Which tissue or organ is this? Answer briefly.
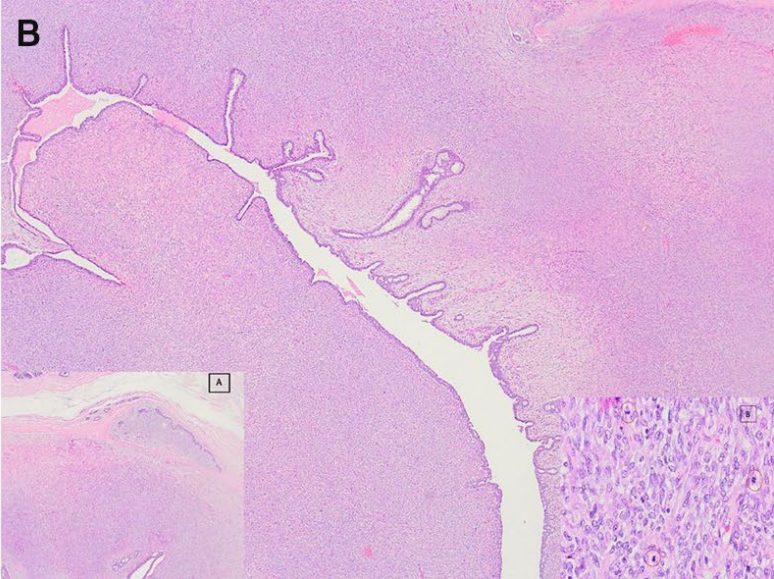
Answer: Cellular mesenchymal areas.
